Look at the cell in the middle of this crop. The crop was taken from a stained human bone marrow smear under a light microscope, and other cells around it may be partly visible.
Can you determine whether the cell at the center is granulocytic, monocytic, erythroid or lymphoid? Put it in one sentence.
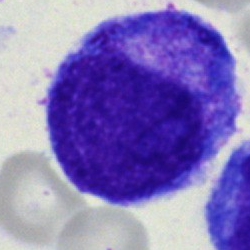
The lineage represented by the central cell is granulocytic.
